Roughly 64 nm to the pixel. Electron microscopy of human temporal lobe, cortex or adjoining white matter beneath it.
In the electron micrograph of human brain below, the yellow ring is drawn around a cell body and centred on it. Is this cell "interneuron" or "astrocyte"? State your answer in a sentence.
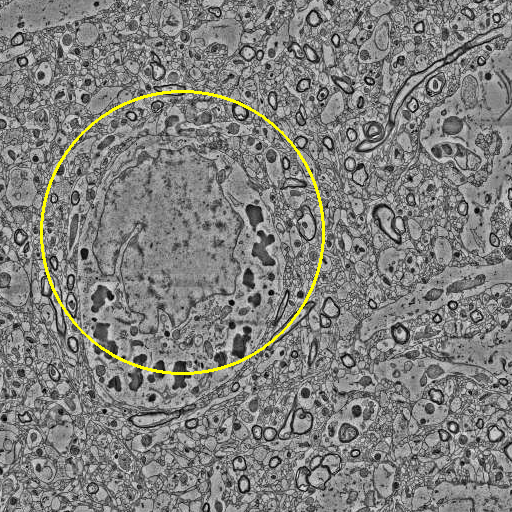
The cell in the middle of the ring is an interneuron.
